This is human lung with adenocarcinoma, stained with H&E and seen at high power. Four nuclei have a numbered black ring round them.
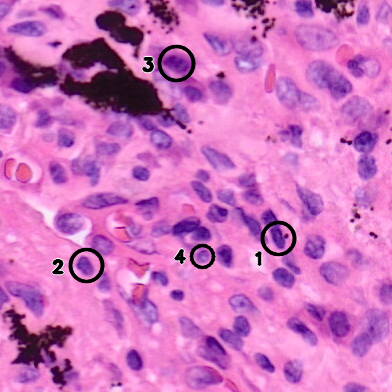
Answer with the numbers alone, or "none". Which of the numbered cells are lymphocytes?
1, 2, 4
